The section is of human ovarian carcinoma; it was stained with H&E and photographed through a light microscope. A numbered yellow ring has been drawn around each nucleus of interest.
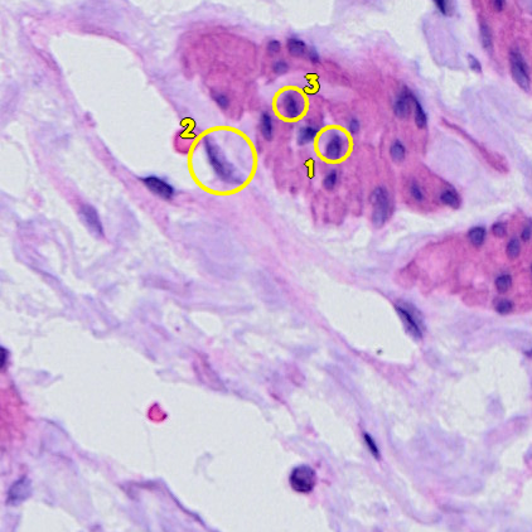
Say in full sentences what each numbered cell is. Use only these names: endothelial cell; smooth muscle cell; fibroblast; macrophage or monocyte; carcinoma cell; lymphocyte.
Cells 1 and 3 are smooth muscle cells. Cell 2 is an endothelial cell.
